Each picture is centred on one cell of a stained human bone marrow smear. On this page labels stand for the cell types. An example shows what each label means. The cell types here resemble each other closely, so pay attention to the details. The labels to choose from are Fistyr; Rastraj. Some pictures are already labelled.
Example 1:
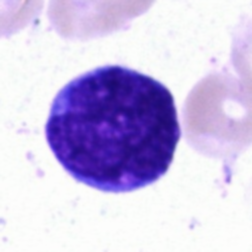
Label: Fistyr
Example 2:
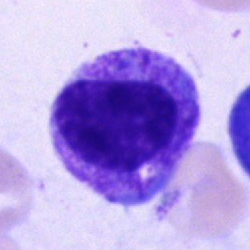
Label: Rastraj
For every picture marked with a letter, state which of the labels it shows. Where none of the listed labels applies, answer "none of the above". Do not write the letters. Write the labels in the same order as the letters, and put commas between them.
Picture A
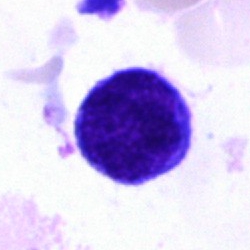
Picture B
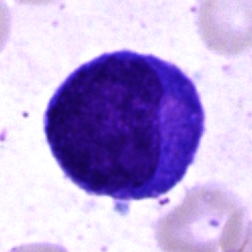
Fistyr, Fistyr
